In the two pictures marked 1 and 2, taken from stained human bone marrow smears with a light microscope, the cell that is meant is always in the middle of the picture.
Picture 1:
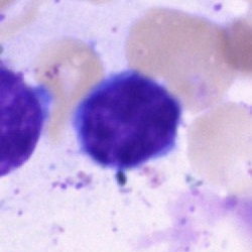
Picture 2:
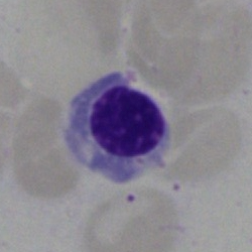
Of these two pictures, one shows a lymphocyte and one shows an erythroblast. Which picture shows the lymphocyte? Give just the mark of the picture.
1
